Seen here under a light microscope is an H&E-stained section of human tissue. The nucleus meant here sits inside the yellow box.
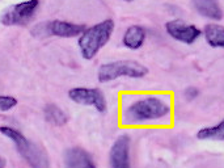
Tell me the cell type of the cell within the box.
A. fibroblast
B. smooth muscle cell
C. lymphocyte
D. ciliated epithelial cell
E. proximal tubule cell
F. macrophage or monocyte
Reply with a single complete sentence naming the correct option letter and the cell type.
In this item, the cell within the box is a fibroblast, and option A is right.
